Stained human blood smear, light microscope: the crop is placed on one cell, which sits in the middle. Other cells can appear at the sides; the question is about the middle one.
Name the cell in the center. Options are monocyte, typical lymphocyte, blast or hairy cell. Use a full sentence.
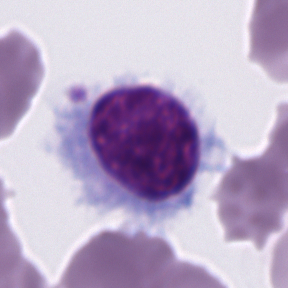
The cell marked by its central position in the crop is a hairy cell.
